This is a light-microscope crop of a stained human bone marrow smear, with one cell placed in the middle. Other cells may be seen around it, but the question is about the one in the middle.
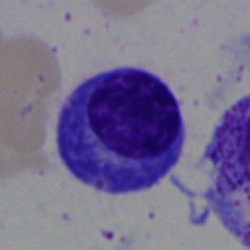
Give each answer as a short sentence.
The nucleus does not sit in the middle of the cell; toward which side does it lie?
The nucleus is pushed toward the upper right of the cell.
